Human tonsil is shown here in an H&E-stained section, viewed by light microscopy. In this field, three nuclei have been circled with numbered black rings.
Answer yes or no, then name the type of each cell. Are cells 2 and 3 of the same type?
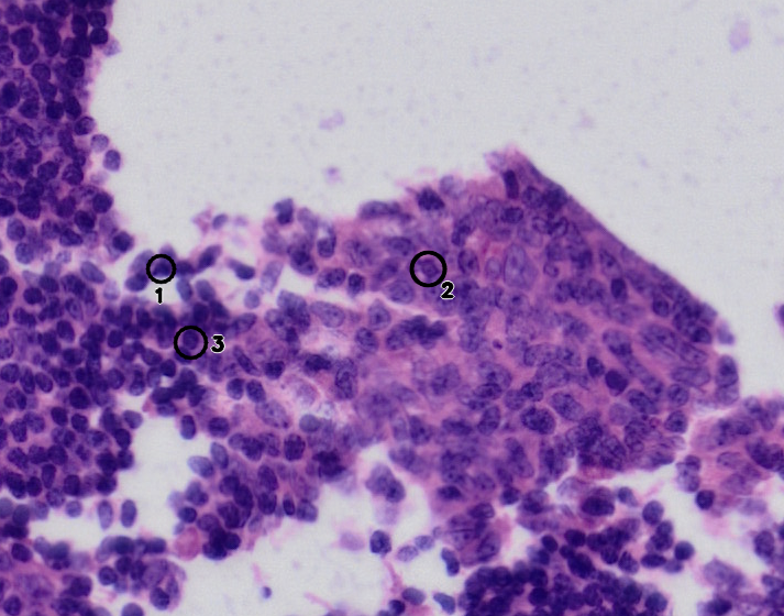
No, cell 2 is a proliferating B cell and cell 3 is a small lymphocyte.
